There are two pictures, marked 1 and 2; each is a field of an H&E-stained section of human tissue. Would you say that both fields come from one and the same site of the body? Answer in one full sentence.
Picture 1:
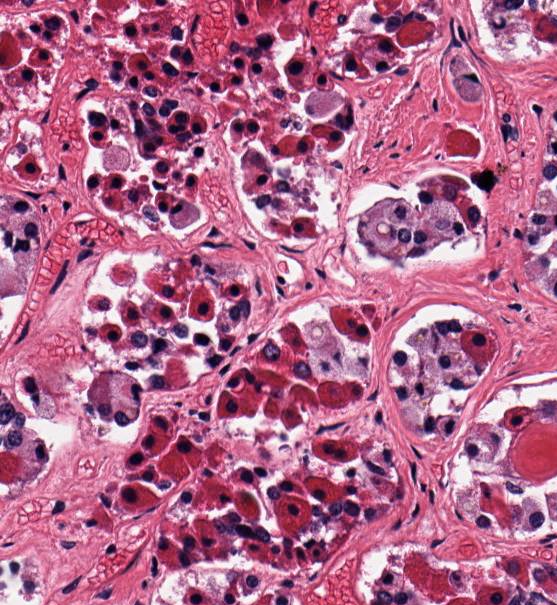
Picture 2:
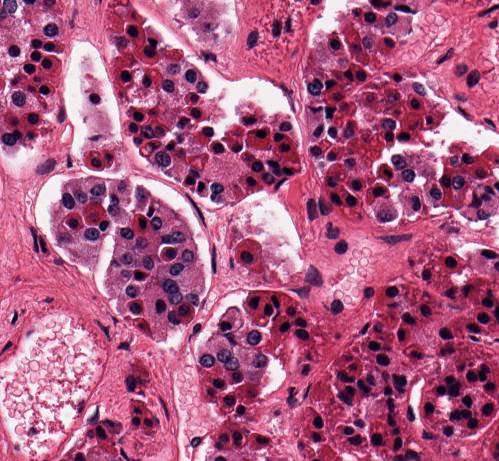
Yes, the two fields both come from the pituitary.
